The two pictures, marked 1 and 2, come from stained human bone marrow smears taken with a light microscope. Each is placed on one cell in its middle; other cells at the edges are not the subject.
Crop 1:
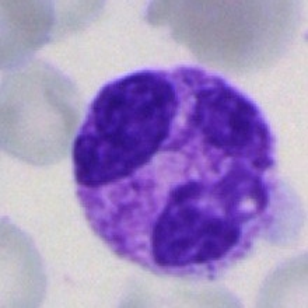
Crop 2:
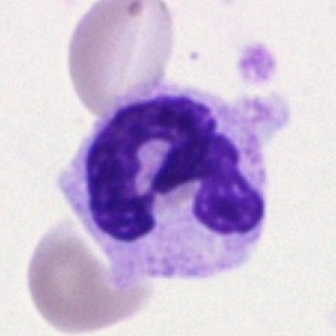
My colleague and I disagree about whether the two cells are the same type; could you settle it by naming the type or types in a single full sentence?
Yes, segmented neutrophils are shown in both crops.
